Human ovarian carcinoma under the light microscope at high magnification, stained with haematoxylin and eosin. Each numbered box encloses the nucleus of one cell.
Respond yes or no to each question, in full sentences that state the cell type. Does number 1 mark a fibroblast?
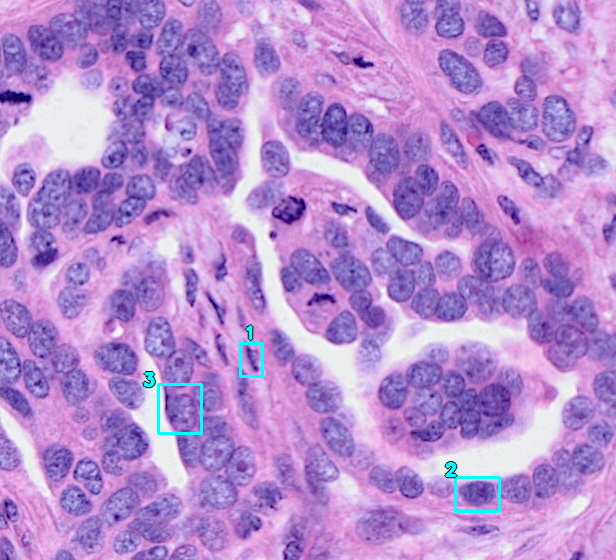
Yes, that is so; number 1 marks a fibroblast.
